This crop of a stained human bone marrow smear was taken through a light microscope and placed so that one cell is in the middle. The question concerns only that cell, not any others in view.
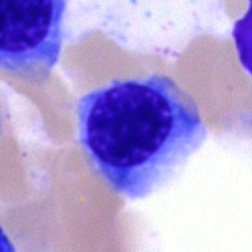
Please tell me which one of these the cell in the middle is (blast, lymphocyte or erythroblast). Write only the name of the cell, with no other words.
erythroblast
